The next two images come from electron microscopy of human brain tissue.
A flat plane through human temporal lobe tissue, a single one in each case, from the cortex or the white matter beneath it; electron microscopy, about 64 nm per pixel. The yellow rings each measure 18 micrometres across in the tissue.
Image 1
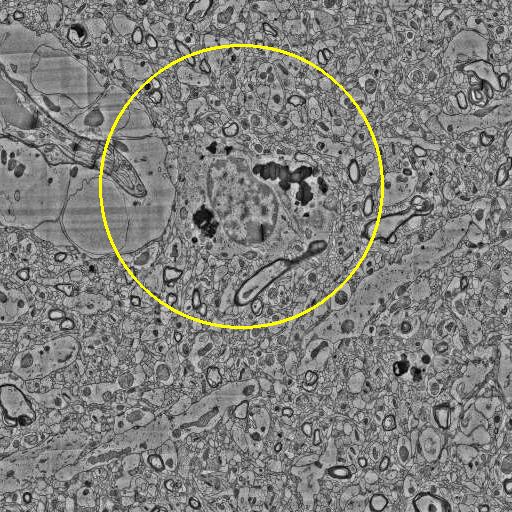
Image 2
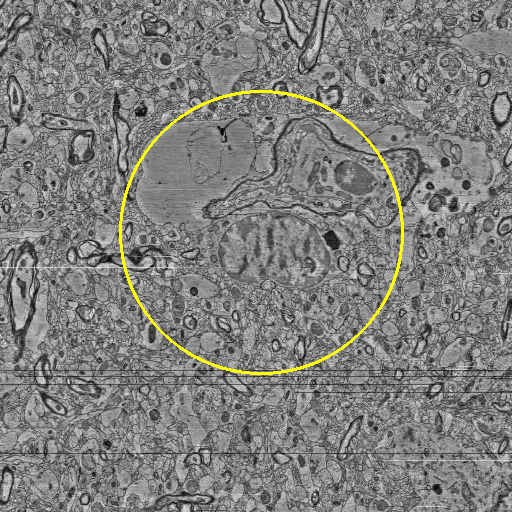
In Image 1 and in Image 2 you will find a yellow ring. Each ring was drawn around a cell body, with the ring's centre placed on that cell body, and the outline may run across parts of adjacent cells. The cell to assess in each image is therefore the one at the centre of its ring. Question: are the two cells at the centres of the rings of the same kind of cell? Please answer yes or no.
yes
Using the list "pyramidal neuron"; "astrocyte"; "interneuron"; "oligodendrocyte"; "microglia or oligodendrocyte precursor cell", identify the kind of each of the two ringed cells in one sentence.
The second cell is an oligodendrocyte, just as the first is.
